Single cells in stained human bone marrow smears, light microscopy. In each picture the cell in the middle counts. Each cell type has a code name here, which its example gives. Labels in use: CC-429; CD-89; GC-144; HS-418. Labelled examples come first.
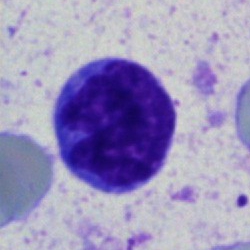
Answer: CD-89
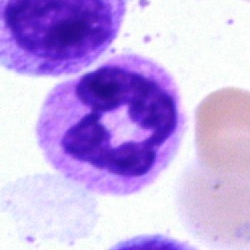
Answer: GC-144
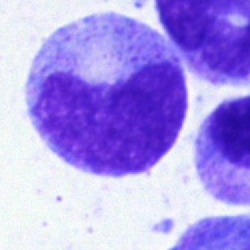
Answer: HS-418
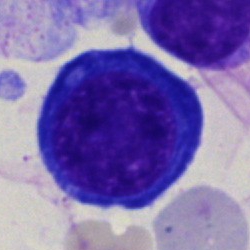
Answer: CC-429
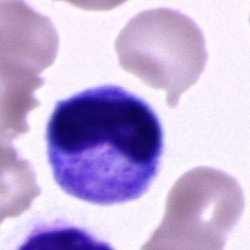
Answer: HS-418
